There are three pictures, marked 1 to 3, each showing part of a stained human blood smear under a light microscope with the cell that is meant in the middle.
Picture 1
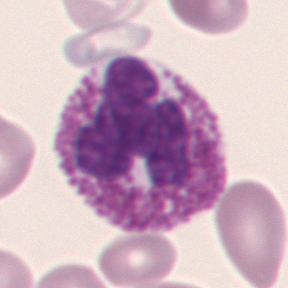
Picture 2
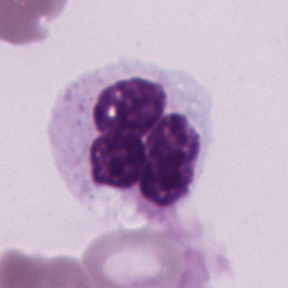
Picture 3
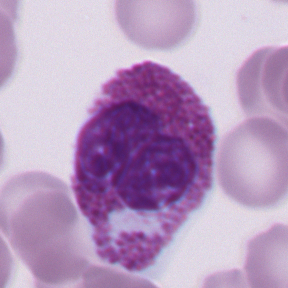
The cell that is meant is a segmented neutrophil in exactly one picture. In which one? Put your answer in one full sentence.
Picture 2 is the one that shows the segmented neutrophil.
